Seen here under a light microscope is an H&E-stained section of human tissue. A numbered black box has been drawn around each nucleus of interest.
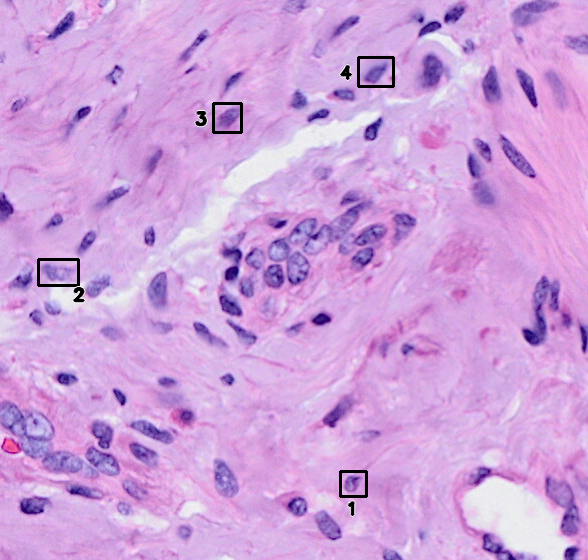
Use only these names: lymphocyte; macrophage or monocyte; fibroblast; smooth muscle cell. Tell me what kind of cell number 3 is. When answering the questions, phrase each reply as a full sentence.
The cell marked with number 3 is a smooth muscle cell.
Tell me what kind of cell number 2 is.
The cell numbered 2 represents a fibroblast.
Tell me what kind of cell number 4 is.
The cell to which the number 4 is assigned is a fibroblast.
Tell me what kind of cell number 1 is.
The cell that is numbered 1 is a fibroblast.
